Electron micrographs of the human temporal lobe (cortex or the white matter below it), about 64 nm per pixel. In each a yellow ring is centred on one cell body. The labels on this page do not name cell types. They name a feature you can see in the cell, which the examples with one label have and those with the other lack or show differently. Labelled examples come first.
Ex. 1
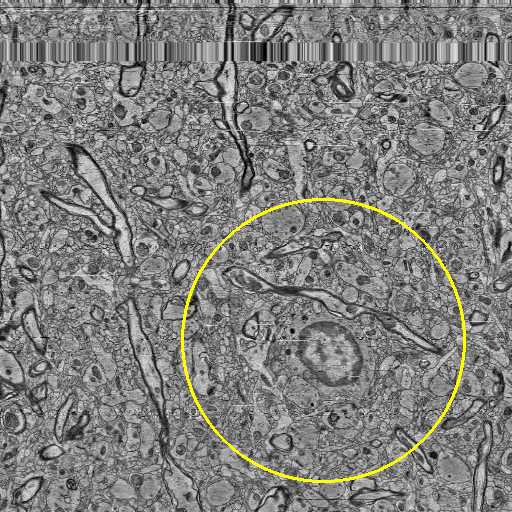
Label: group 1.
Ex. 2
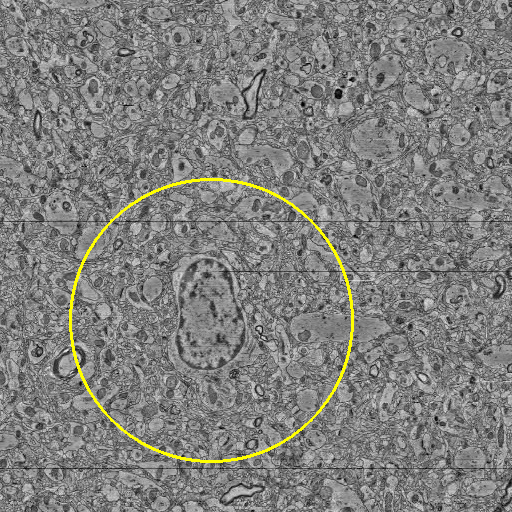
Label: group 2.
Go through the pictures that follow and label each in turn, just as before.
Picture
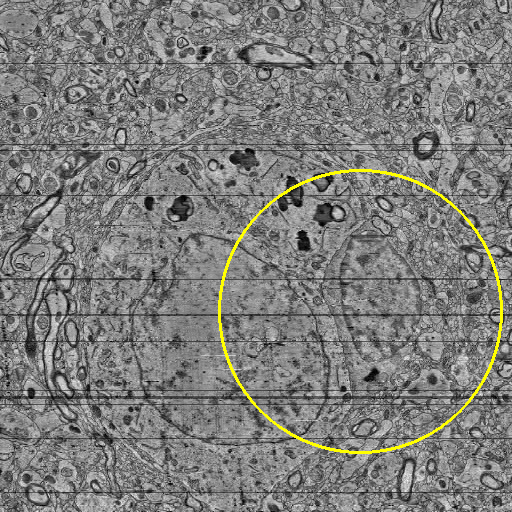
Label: group 2.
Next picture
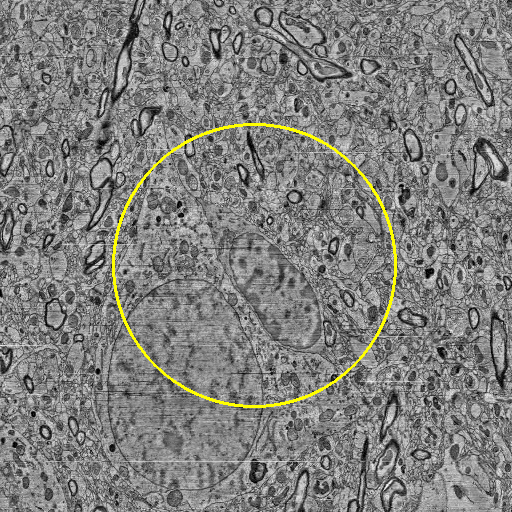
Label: group 2.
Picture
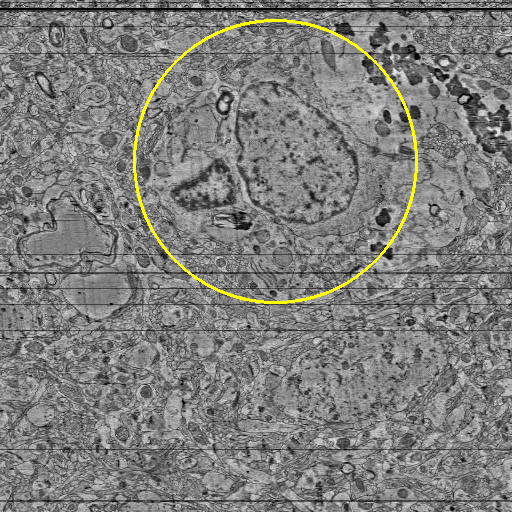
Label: group 1.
